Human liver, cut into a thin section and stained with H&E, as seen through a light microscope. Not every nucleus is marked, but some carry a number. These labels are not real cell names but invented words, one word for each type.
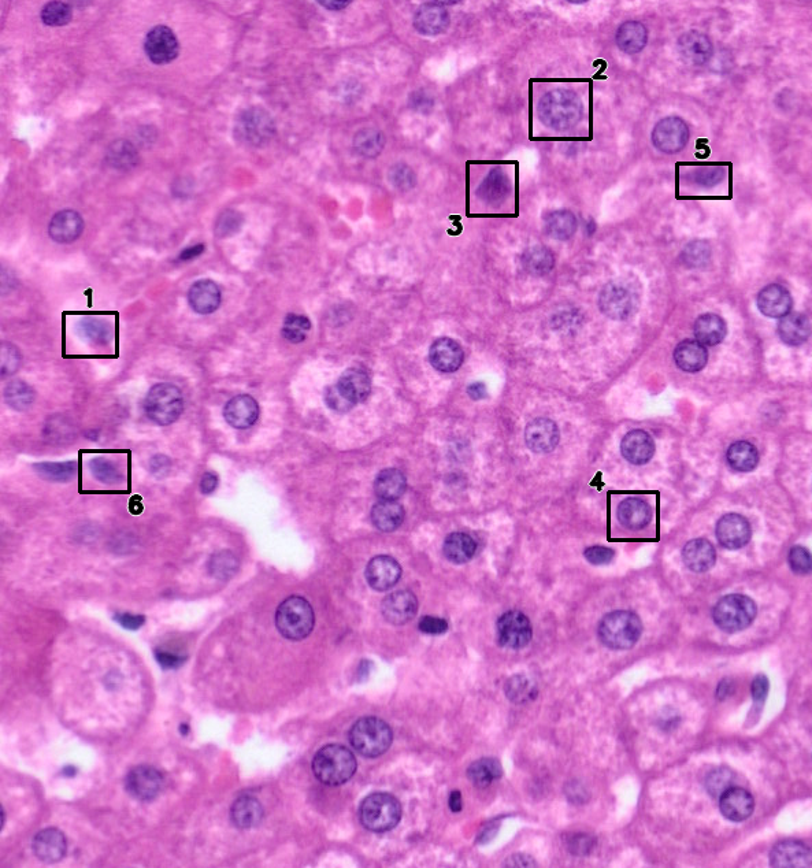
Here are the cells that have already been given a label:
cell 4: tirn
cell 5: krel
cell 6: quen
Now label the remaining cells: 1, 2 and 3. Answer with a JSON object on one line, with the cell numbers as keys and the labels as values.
{"1": "quen", "2": "tirn", "3": "quen"}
